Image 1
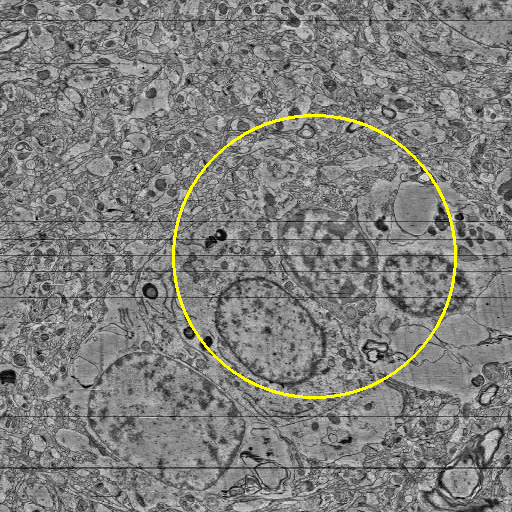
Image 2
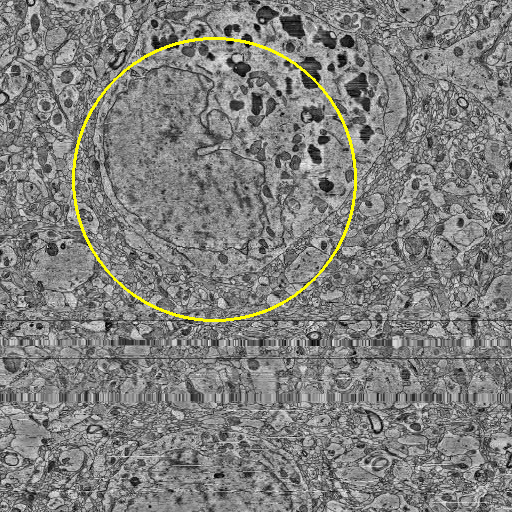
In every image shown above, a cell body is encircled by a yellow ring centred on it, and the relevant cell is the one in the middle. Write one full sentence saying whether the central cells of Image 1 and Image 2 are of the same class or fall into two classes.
The cell at the ring's centre in Image 1 and its counterpart in Image 2 fall into two classes.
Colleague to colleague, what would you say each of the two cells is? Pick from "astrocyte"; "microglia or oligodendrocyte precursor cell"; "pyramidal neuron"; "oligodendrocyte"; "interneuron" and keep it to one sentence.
The cell in the first picture is an oligodendrocyte; the second picture's cell is an interneuron.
